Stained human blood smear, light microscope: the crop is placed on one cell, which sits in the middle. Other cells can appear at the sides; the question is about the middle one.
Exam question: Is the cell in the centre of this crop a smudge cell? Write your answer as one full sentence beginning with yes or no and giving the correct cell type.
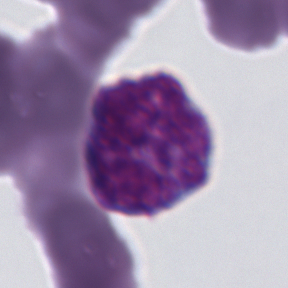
No, not a smudge cell here; the centered cell is a myeloblast.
